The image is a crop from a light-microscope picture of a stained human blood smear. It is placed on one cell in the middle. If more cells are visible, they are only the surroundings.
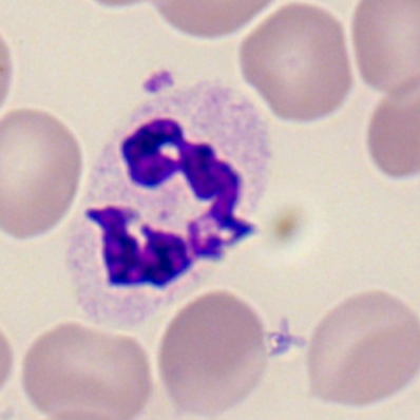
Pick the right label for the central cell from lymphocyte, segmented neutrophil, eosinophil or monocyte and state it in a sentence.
In this crop, the cell at the very middle is a segmented neutrophil.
